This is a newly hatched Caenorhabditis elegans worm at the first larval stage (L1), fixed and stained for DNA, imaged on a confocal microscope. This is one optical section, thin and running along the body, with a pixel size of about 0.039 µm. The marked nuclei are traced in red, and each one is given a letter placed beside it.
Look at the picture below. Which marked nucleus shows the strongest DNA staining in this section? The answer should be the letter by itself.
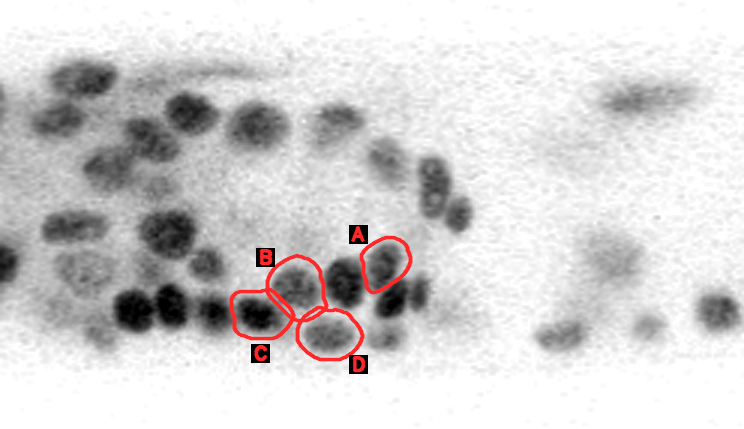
C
